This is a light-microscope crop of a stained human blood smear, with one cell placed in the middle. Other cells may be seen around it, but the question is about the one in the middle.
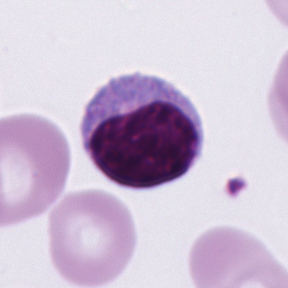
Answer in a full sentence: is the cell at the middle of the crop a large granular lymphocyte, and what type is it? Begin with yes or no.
No, the central cell isn't a large granular lymphocyte, but a typical lymphocyte.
